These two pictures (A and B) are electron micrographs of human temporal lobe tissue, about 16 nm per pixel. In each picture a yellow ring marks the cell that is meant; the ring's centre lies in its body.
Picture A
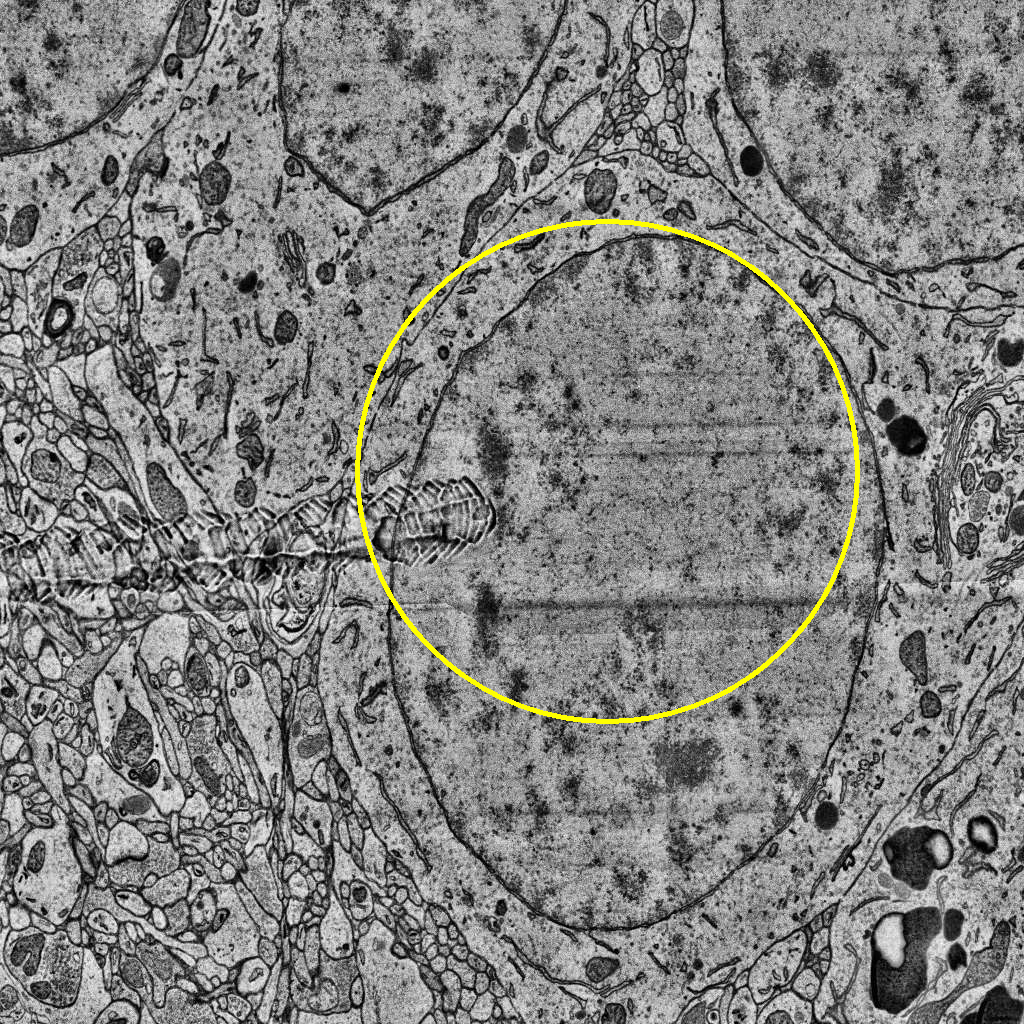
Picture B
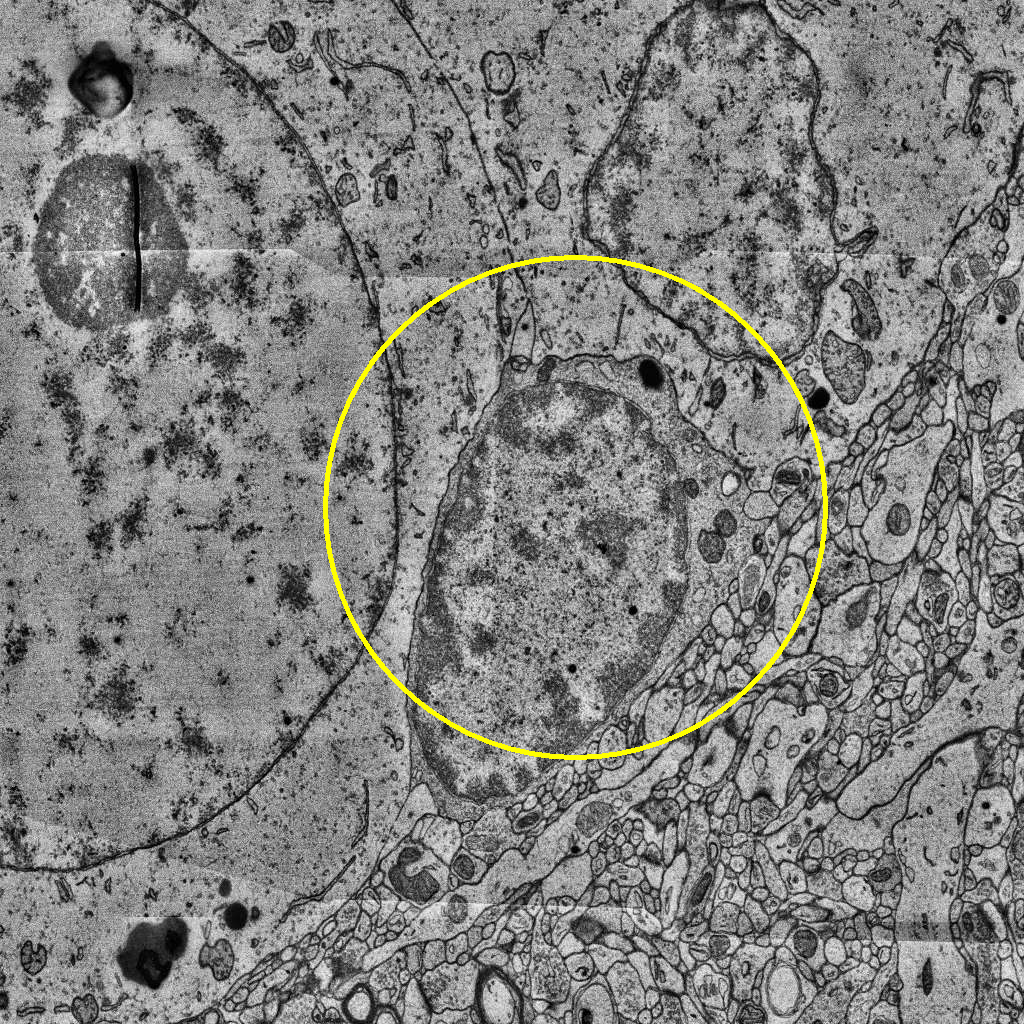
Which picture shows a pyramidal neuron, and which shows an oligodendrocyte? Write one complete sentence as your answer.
Picture A shows a pyramidal neuron and picture B shows an oligodendrocyte.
